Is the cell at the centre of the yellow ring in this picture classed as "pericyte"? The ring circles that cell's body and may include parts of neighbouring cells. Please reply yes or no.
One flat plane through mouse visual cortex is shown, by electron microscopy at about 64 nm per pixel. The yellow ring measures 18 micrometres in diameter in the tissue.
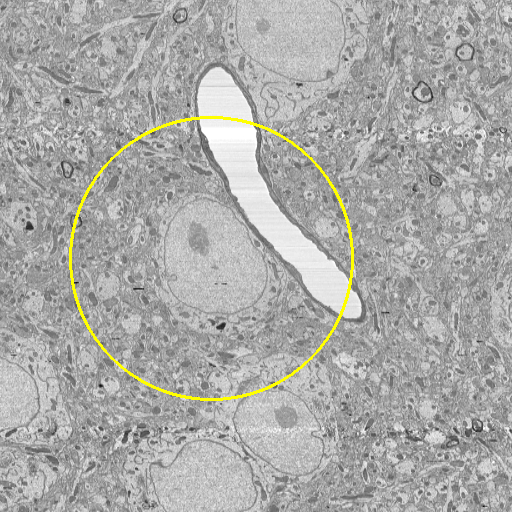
No, it is of another kind.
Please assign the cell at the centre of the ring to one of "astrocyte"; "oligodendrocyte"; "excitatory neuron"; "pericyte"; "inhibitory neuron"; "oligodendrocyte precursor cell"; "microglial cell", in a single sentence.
The cell that the ring is centred on is an excitatory neuron.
